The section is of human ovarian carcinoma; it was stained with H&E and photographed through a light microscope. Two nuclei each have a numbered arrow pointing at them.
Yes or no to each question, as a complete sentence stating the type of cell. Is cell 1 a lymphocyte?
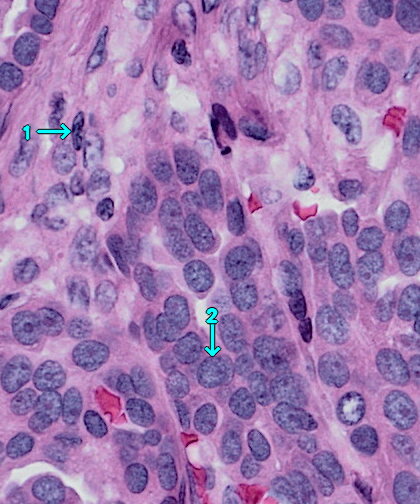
Yes, the cell shown as number 1 is a lymphocyte.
